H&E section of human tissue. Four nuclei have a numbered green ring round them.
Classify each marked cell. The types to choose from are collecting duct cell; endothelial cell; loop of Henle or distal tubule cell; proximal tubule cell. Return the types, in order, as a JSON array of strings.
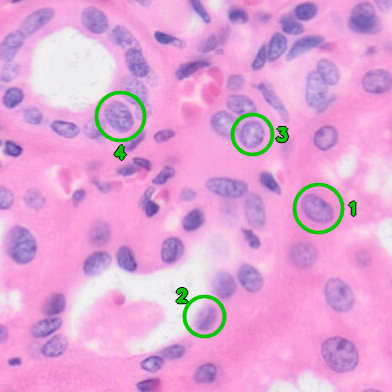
["proximal tubule cell", "collecting duct cell", "collecting duct cell", "collecting duct cell"]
